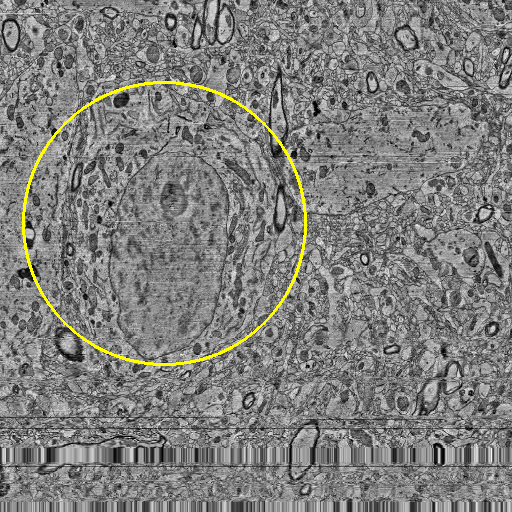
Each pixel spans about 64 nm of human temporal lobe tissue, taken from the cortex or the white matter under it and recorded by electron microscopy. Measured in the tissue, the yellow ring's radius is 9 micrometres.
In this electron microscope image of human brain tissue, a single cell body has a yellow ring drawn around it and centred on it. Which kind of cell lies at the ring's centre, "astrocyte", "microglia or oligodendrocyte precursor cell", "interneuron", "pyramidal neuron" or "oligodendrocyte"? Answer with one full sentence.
It is an interneuron whose cell body lies at the centre of the yellow ring here.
